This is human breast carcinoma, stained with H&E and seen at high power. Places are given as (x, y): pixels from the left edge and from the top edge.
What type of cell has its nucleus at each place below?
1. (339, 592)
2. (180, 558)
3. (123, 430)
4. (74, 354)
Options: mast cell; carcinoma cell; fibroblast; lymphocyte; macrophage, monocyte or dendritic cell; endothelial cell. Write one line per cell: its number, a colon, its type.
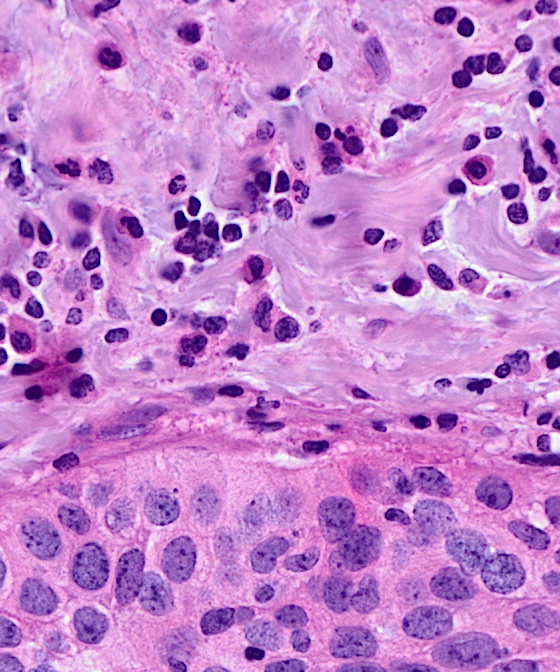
1: carcinoma cell
2: carcinoma cell
3: endothelial cell
4: lymphocyte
